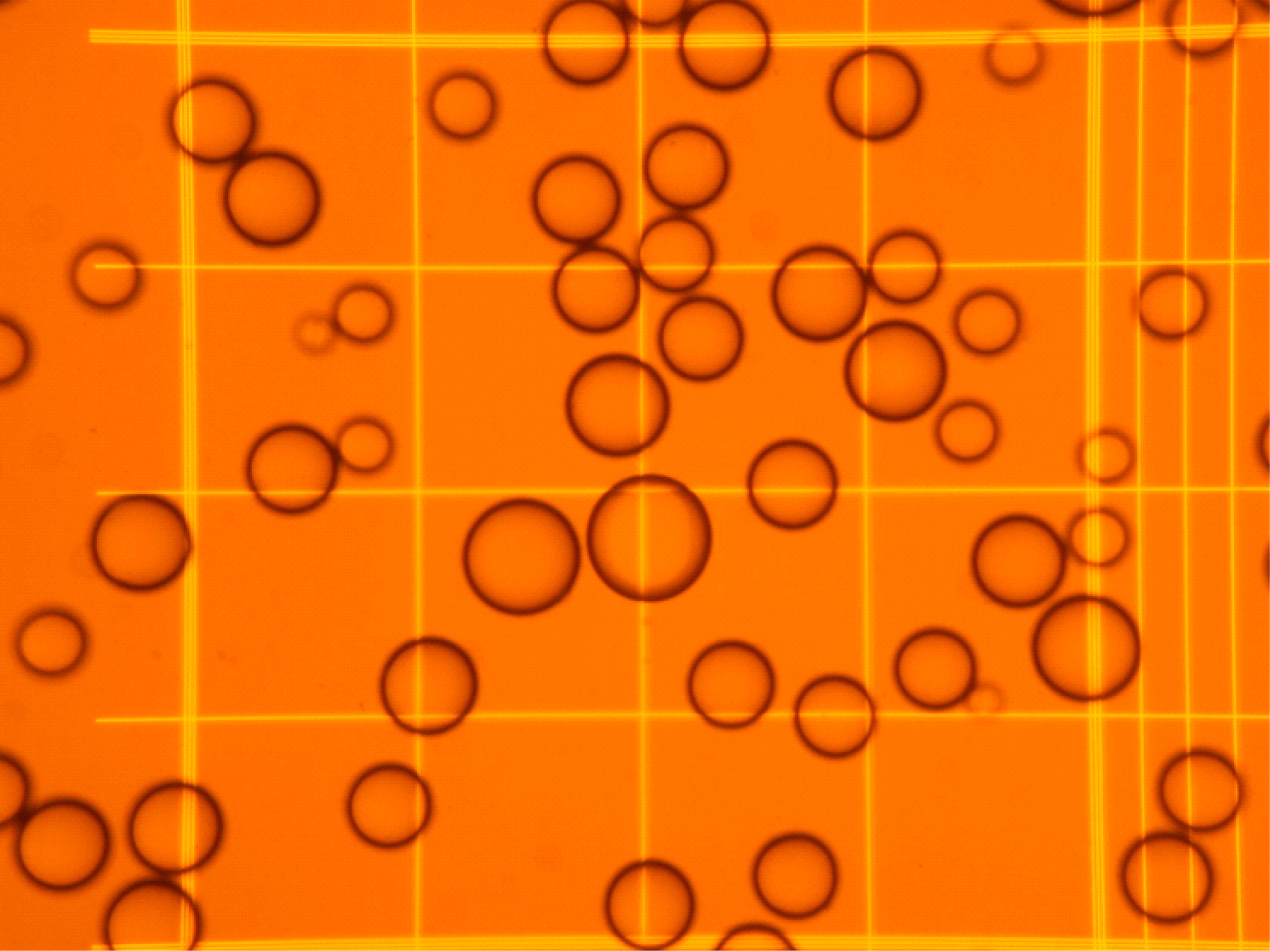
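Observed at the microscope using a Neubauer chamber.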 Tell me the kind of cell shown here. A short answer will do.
adipocyte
